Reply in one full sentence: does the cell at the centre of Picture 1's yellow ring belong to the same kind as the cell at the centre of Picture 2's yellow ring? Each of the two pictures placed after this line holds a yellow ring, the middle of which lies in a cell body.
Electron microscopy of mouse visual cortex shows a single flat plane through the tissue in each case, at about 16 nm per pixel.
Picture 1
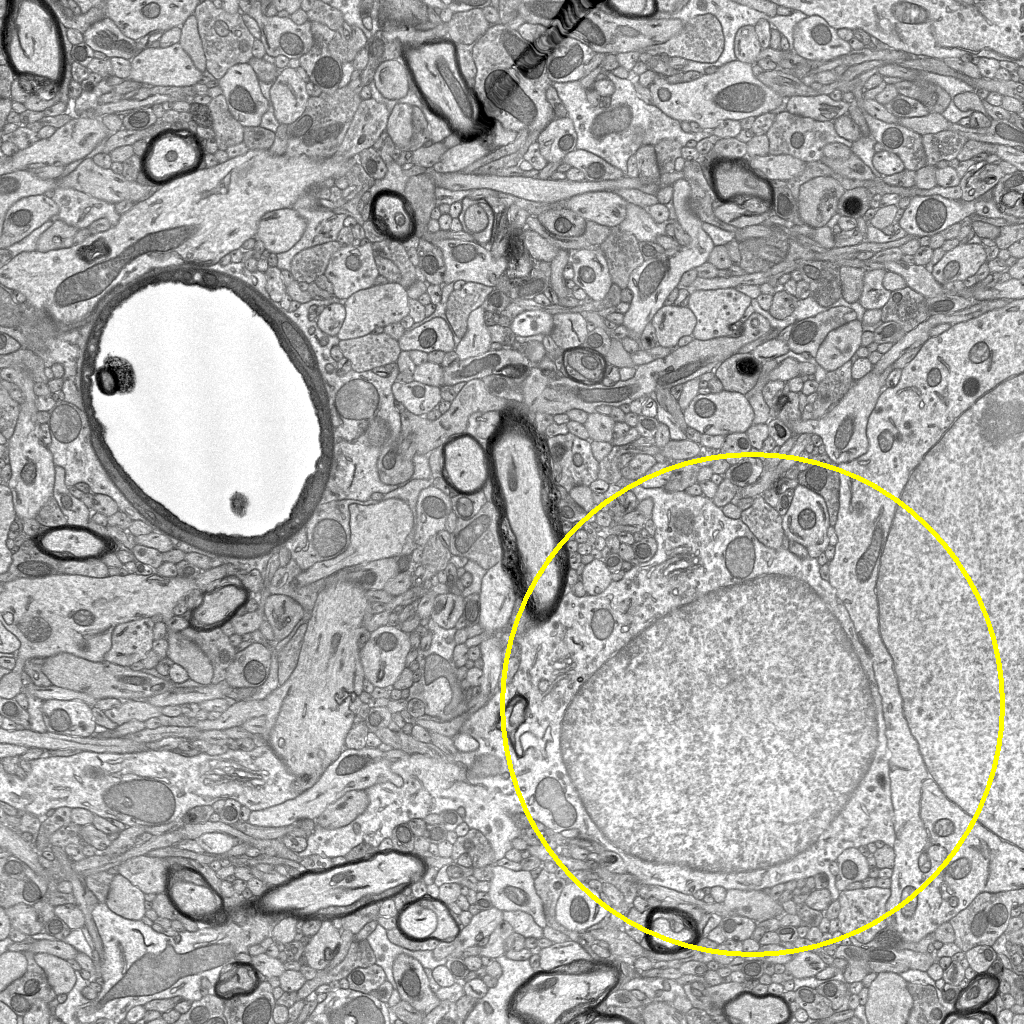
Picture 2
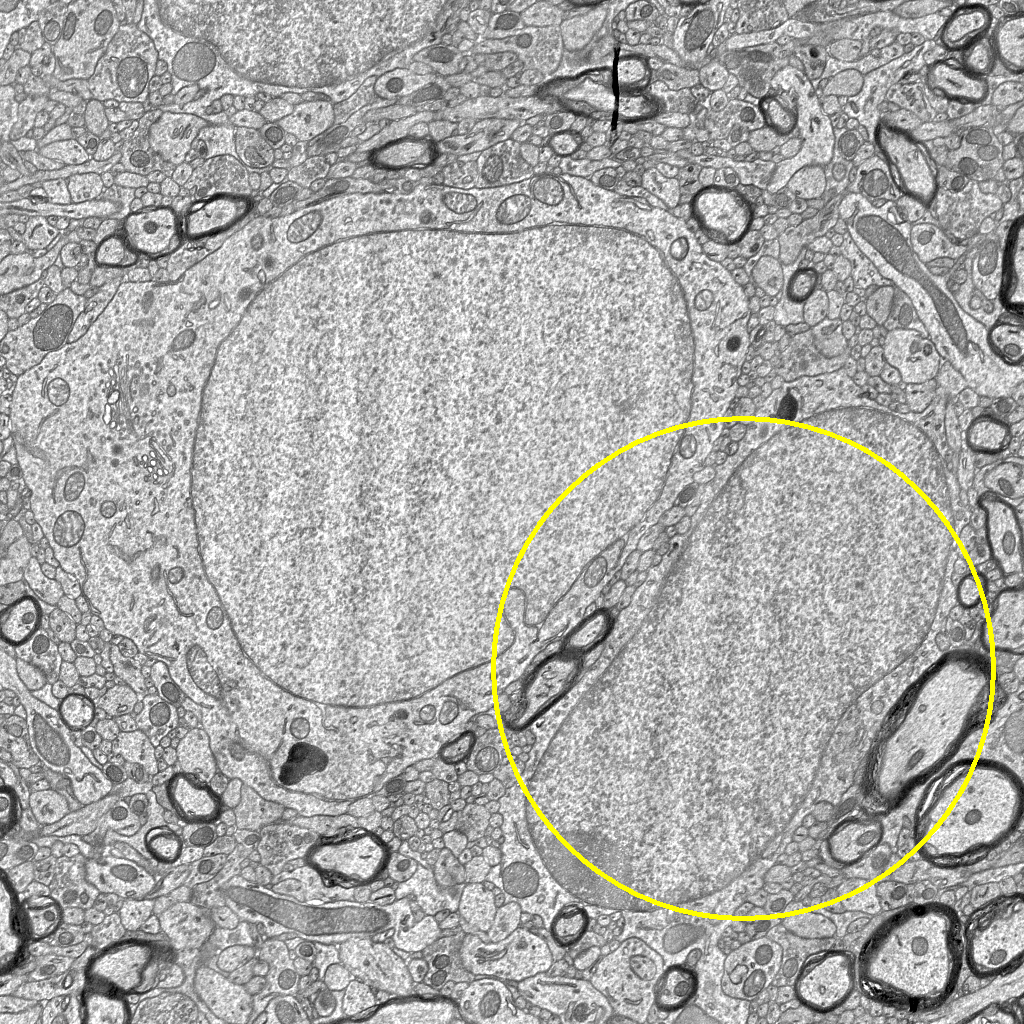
Yes, the cells at the ring centres in Picture 1 and Picture 2 are of one and the same kind.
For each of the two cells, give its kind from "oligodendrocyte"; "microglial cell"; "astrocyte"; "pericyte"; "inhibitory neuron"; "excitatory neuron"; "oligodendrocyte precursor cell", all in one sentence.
The second cell is an astrocyte, just as the first is.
